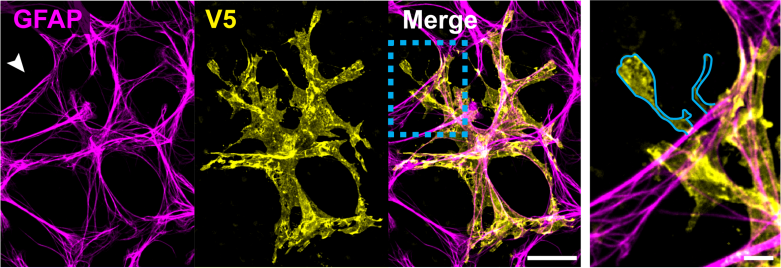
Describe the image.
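The yellow cell has an irregular central body from which broad, flattened, membranous processes spread in several directions, some of them branching and ending in thin, ragged extensions. In the merged view the magenta filaments run through the thicker parts of the yellow processes, but much of the yellow cell surface, especially its thin sheets and finer tips, holds no magenta at all. The enlarged view shows a slender, looping yellow process outlined in cyan that lacks any magenta filament.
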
